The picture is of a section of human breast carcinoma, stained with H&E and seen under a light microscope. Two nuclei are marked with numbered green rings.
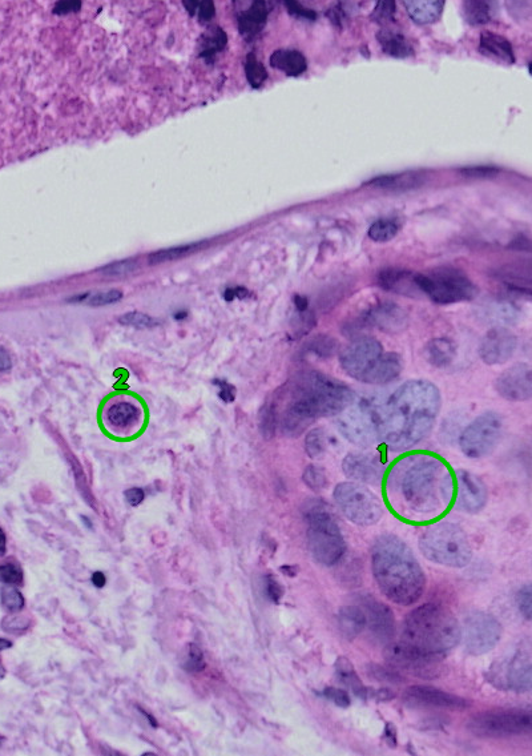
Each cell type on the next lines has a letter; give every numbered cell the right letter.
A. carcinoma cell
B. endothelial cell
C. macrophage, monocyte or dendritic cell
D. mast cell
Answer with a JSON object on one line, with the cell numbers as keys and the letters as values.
{"1": "A", "2": "D"}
